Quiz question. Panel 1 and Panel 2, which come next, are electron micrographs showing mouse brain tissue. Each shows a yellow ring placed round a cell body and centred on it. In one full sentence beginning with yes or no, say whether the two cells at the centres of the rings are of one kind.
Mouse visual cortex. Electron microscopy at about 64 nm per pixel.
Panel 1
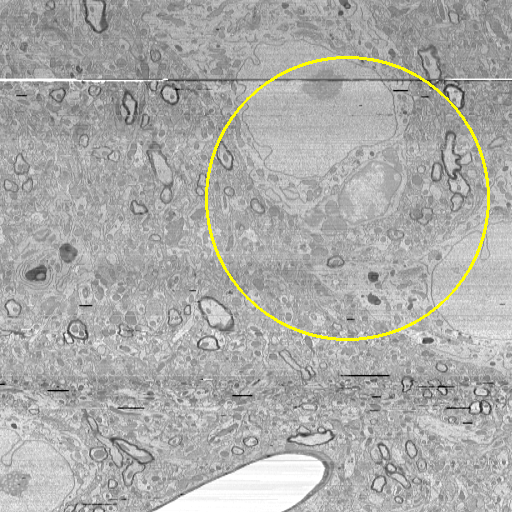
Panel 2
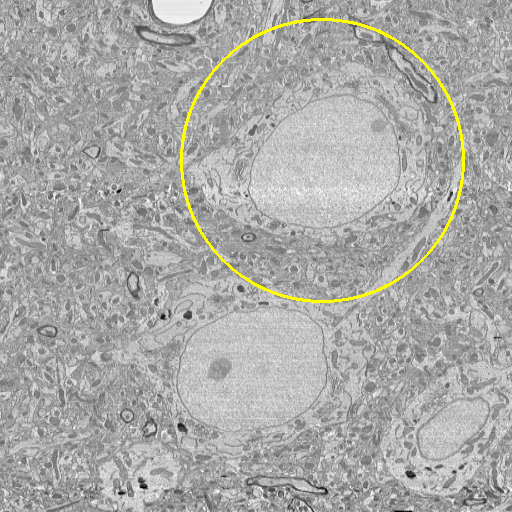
No, Panel 1 and Panel 2 show two kinds of cell at the centre of the ring.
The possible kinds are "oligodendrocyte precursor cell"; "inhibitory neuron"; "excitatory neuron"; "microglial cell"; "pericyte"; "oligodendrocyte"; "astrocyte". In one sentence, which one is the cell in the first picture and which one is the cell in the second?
The cell ringed in the second picture is an excitatory neuron, whereas the one ringed in the first is an oligodendrocyte.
